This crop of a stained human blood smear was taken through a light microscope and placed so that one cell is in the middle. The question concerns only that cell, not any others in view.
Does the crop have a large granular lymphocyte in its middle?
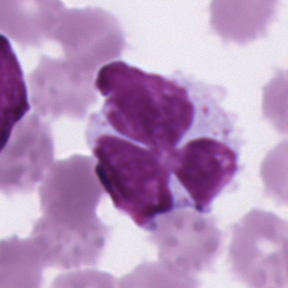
yes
